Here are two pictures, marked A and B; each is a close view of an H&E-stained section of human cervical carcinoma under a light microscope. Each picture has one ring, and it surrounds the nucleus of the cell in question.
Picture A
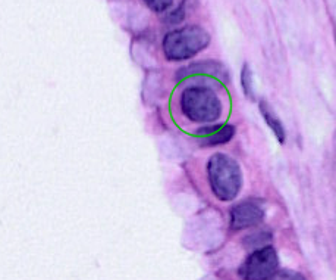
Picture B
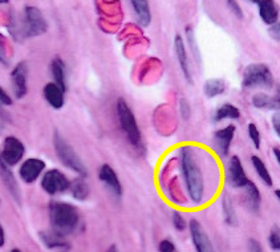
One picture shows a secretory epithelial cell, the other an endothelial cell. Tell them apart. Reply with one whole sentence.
It is picture A that shows a secretory epithelial cell, and picture B that shows an endothelial cell.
